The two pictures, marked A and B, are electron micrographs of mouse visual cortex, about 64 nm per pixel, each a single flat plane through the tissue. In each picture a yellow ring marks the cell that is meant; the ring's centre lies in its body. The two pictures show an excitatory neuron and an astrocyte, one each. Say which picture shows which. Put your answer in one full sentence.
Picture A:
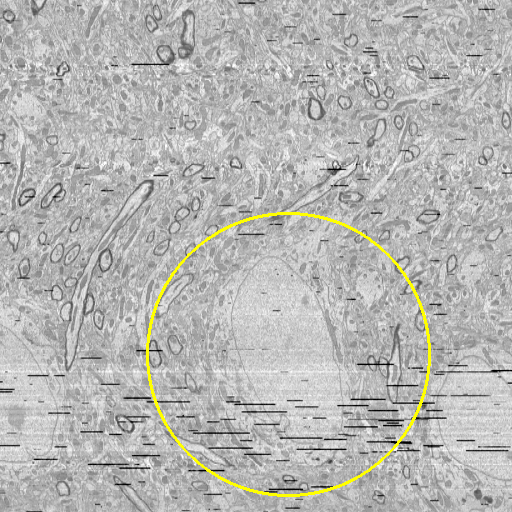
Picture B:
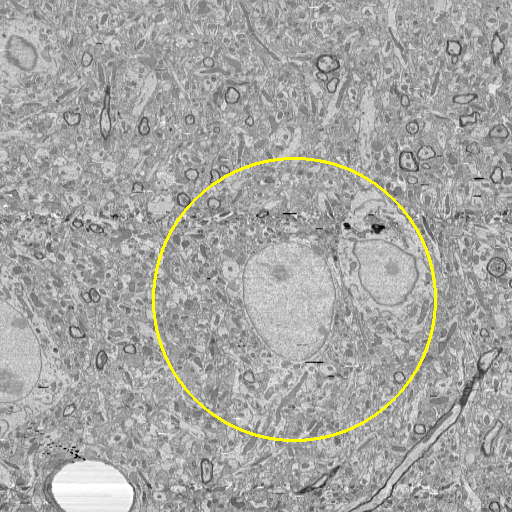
The cell in picture A is an excitatory neuron, and the one in picture B is an astrocyte.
